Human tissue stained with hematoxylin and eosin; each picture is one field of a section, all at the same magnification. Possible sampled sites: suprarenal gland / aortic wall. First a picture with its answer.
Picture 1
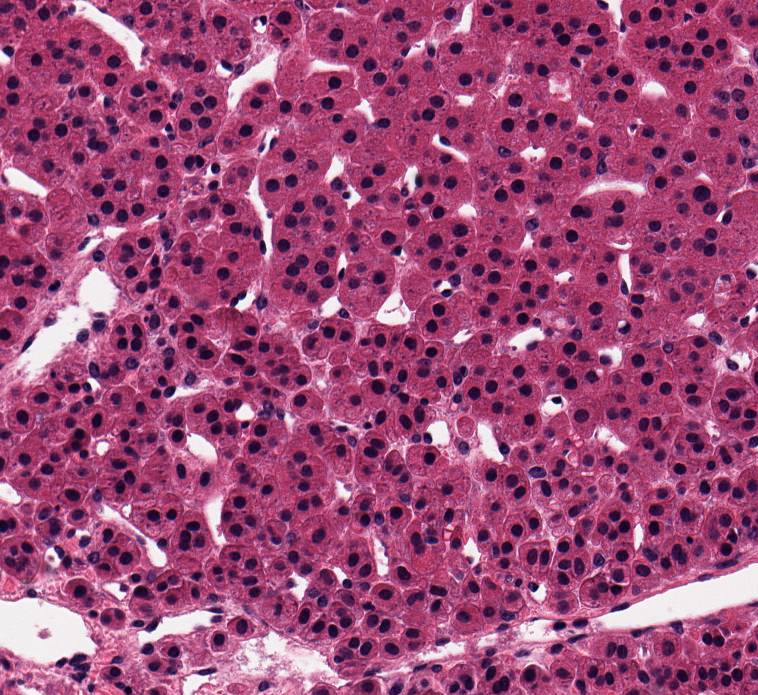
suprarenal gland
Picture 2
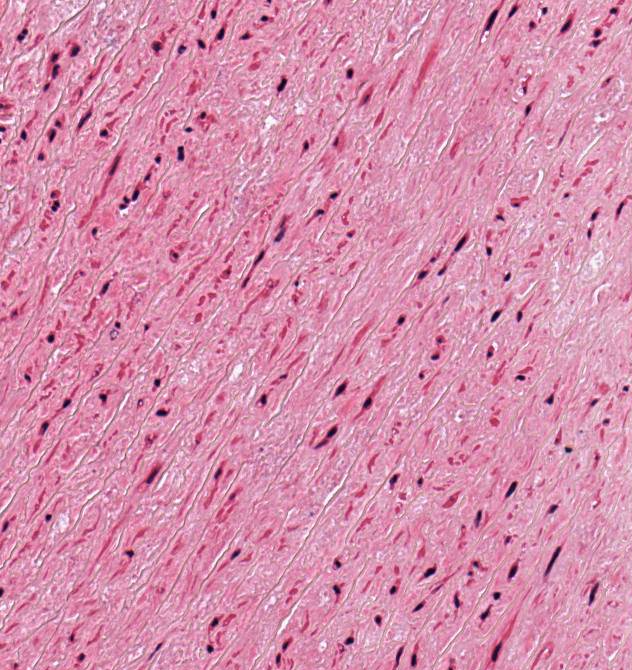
aortic wall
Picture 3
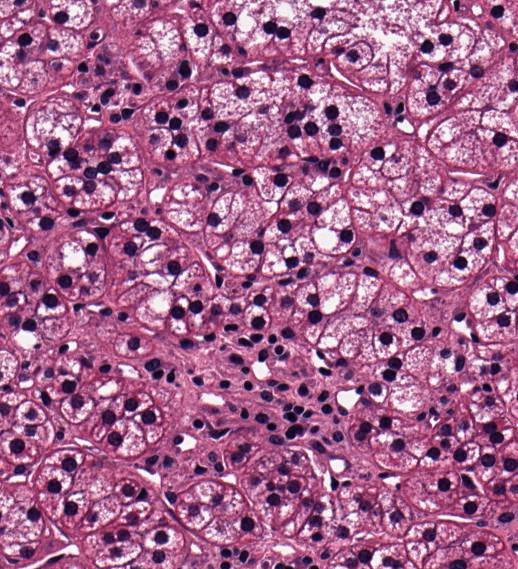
suprarenal gland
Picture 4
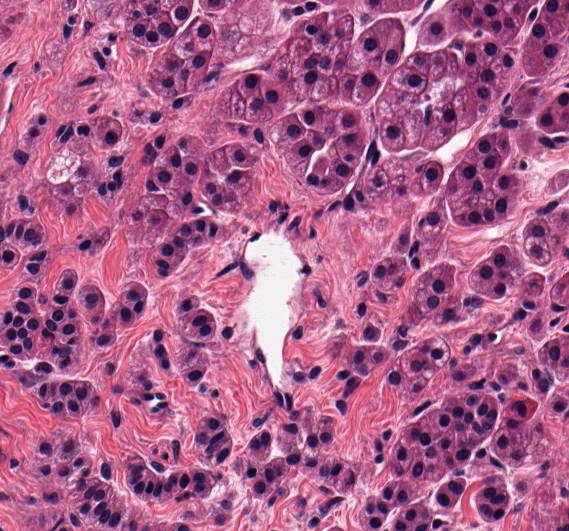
suprarenal gland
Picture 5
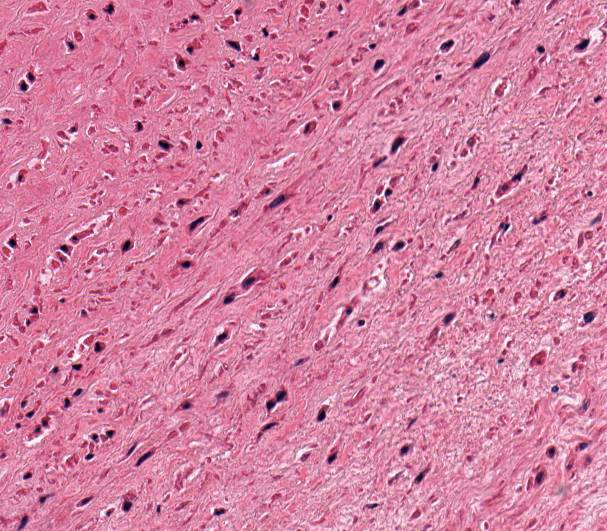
aortic wall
